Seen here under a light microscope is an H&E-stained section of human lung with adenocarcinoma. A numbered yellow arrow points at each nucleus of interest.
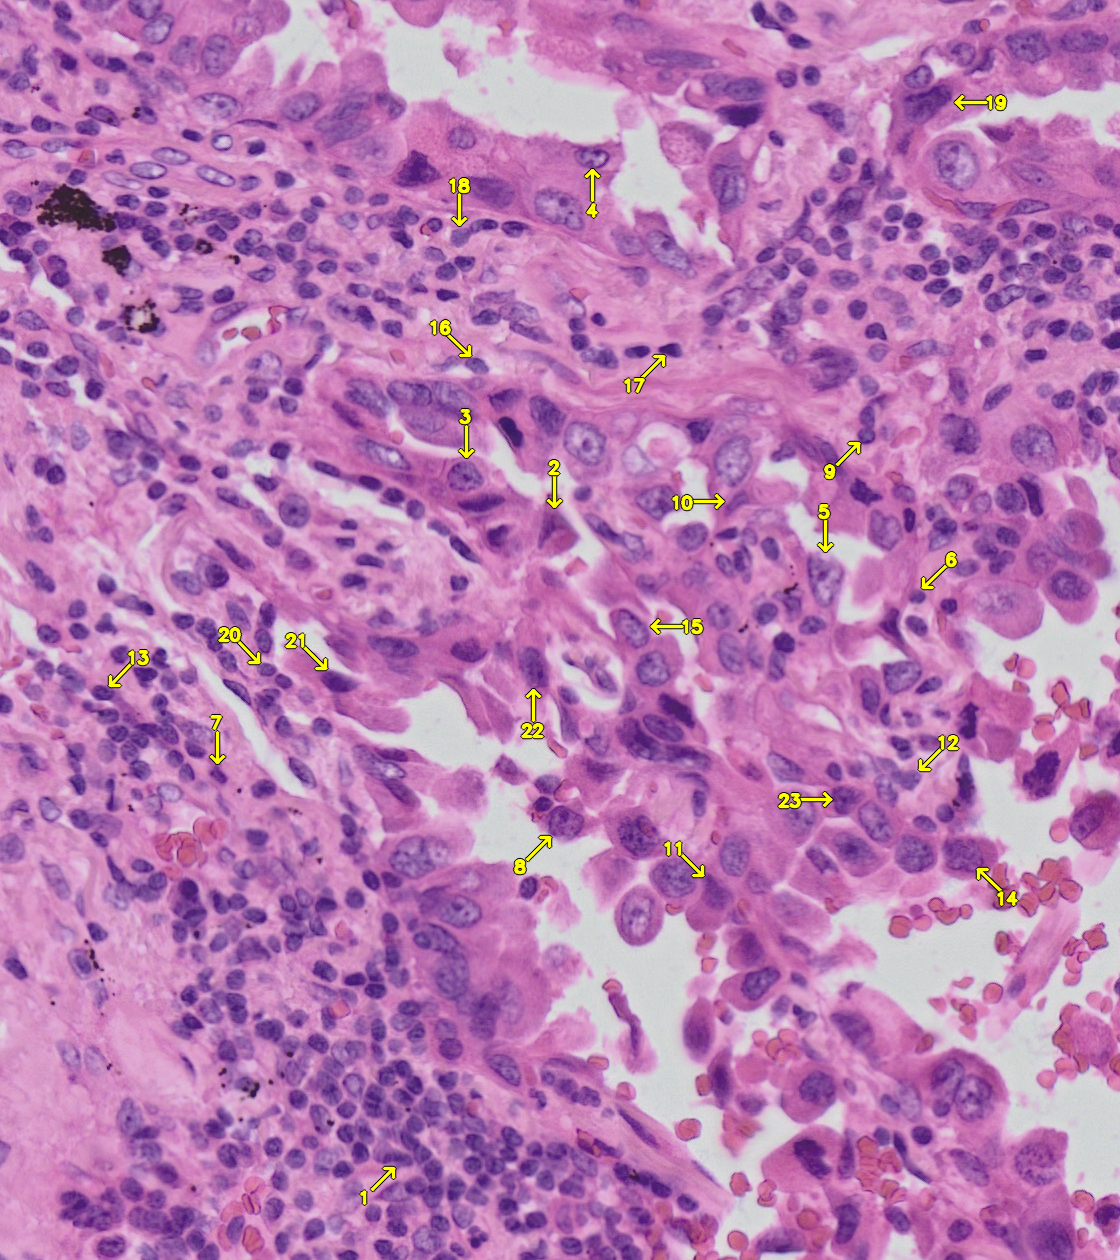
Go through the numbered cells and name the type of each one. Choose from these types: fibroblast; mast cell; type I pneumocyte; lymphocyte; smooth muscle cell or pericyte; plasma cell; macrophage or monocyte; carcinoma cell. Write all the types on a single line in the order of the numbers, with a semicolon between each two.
lymphocyte; carcinoma cell; carcinoma cell; macrophage or monocyte; carcinoma cell; lymphocyte; plasma cell; carcinoma cell; mast cell; carcinoma cell; carcinoma cell; lymphocyte; lymphocyte; carcinoma cell; carcinoma cell; lymphocyte; lymphocyte; lymphocyte; carcinoma cell; lymphocyte; carcinoma cell; carcinoma cell; carcinoma cell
